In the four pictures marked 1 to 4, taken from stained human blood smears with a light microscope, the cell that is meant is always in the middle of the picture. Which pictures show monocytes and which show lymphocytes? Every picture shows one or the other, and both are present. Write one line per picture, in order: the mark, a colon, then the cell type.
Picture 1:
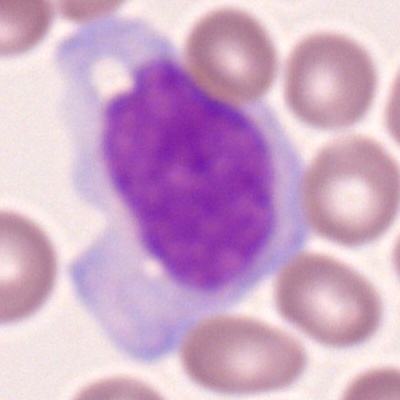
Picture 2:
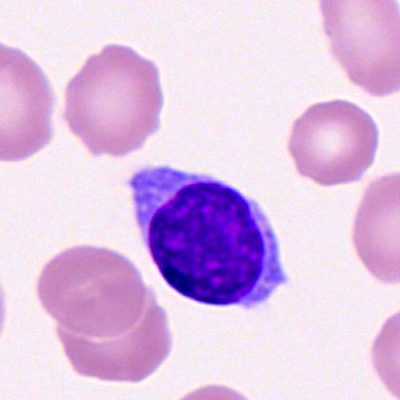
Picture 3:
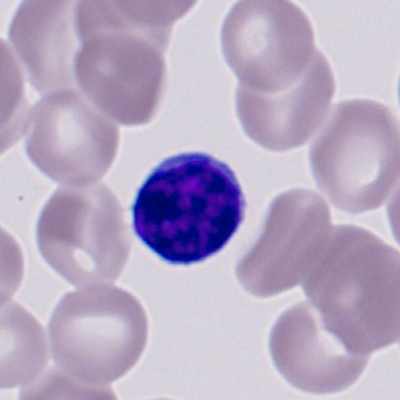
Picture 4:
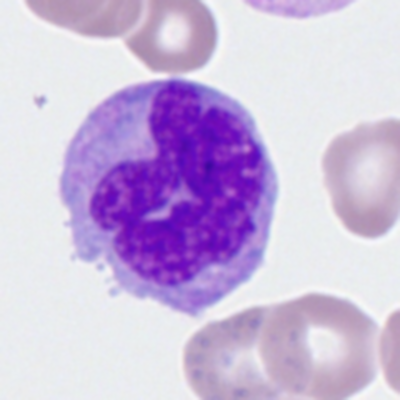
1: monocyte
2: lymphocyte
3: lymphocyte
4: monocyte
